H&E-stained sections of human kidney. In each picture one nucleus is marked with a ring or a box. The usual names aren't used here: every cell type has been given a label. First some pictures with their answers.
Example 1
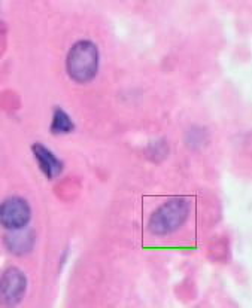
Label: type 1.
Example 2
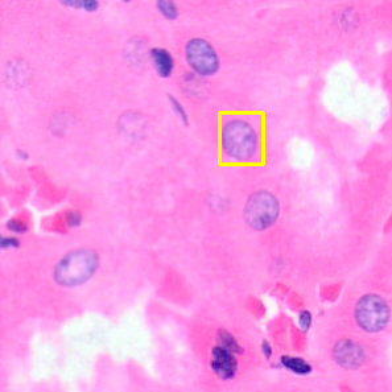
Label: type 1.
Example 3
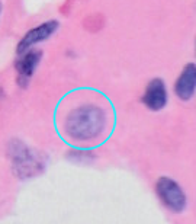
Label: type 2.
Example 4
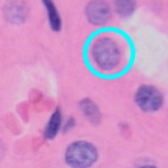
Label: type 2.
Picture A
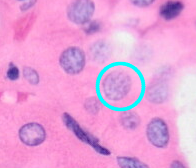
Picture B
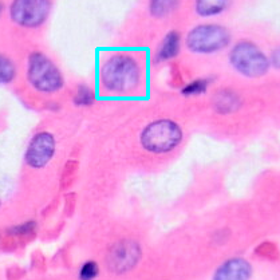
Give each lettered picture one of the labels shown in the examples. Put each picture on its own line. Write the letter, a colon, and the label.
A: type 2.
B: type 2.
